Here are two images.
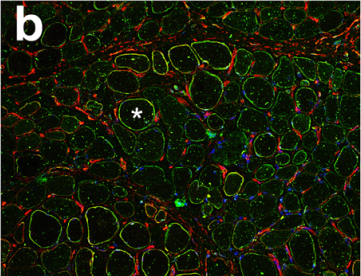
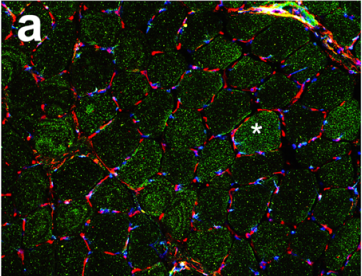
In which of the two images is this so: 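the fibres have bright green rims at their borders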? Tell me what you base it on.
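First image: many rounded fibres are outlined by a bright green ring with a darker interior. Second image: the green is spread finely through the interior of the polygonal fibres, with red lines between them.
Conclusion: the first image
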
